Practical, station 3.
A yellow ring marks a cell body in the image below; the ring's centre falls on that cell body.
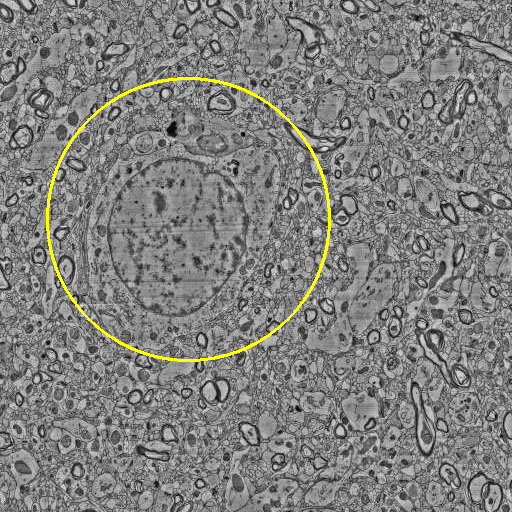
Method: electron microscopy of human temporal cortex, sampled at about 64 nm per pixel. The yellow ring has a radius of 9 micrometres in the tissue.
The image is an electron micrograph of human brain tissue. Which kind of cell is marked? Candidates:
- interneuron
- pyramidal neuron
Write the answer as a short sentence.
The marked cell body is that of an interneuron.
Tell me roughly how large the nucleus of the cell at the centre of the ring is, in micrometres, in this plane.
The nucleus is about 9 micrometres across in this plane.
